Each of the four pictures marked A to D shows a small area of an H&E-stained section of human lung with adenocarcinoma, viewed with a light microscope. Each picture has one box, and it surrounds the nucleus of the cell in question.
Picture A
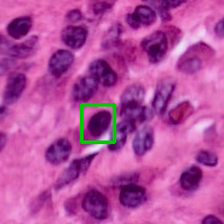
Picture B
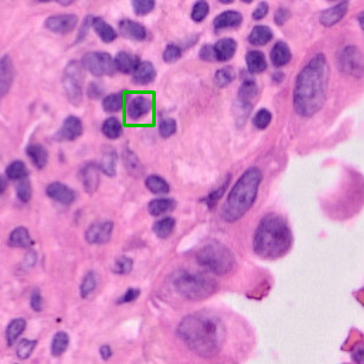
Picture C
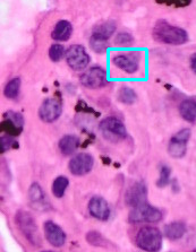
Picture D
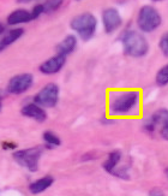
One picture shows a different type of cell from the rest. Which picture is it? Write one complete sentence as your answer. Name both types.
The different one is picture A; it shows a plasma cell, whereas all the others show lymphocytes.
